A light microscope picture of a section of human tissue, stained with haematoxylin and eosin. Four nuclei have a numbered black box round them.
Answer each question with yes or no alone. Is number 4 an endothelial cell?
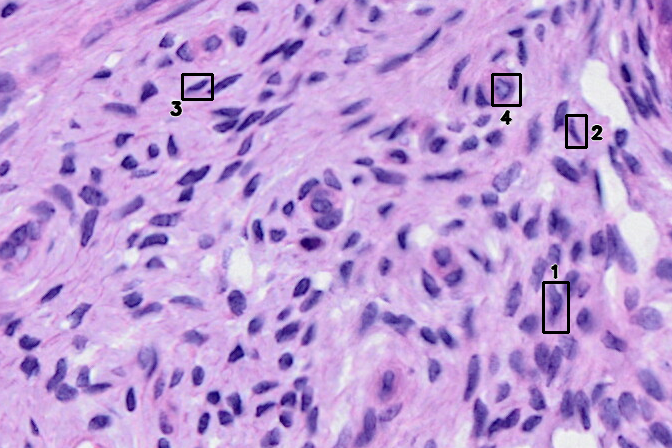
yes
